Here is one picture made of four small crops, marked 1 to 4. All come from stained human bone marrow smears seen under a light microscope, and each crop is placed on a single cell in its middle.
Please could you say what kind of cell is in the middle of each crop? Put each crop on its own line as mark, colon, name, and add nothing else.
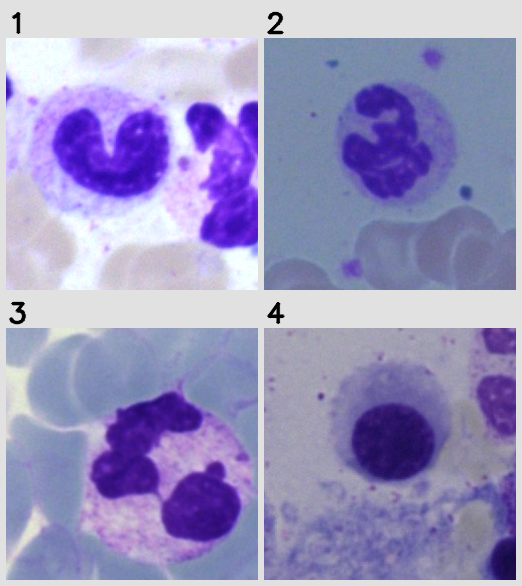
1: band neutrophil
2: segmented neutrophil
3: segmented neutrophil
4: erythroblast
